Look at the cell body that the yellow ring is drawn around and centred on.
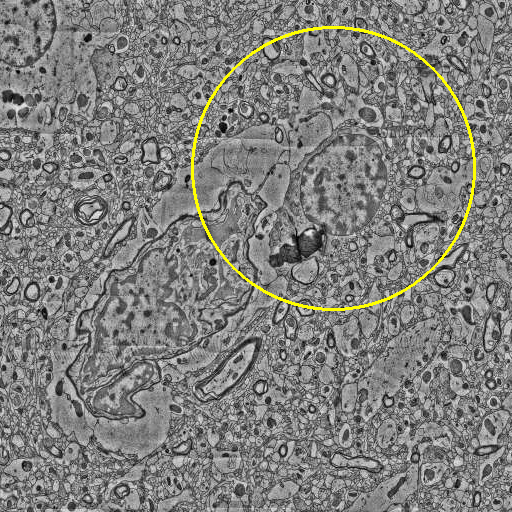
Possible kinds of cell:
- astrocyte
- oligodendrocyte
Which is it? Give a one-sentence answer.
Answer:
The centred cell body is that of an oligodendrocyte.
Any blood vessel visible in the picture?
Yes, the image shows a blood vessel.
